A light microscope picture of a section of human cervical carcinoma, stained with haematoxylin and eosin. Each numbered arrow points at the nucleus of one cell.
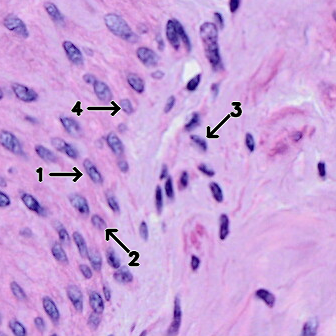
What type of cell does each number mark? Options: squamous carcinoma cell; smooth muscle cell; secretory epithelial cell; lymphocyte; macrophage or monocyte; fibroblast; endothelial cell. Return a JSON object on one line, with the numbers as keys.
{"1": "smooth muscle cell", "2": "smooth muscle cell", "3": "fibroblast", "4": "smooth muscle cell"}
